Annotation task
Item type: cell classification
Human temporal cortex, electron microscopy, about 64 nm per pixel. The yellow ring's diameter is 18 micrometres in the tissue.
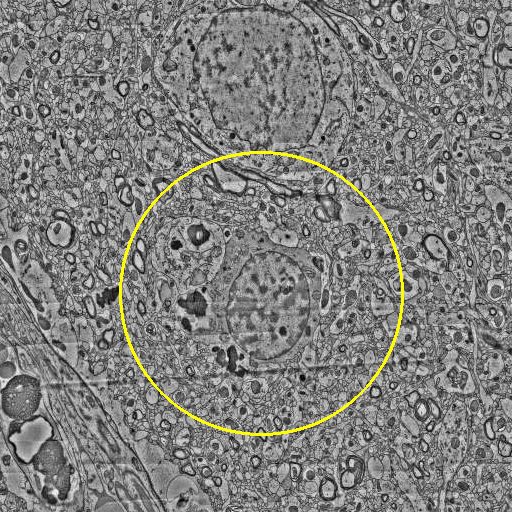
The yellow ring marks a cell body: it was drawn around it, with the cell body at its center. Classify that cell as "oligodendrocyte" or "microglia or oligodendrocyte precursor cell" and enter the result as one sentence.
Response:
The ring's center falls on an oligodendrocyte.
